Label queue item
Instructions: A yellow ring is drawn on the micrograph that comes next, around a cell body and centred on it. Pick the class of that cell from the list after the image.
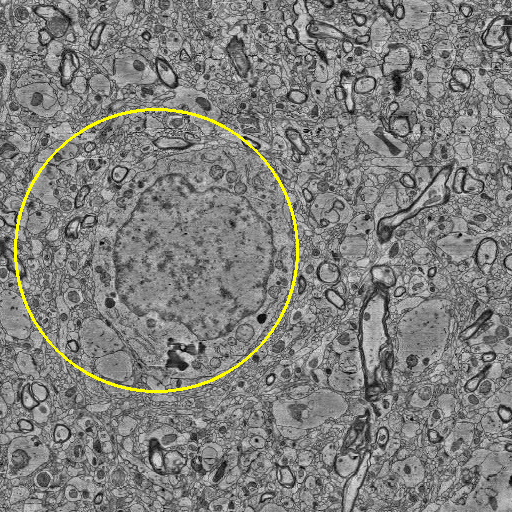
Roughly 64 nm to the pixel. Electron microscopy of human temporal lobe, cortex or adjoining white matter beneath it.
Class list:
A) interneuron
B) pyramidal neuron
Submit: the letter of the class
A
